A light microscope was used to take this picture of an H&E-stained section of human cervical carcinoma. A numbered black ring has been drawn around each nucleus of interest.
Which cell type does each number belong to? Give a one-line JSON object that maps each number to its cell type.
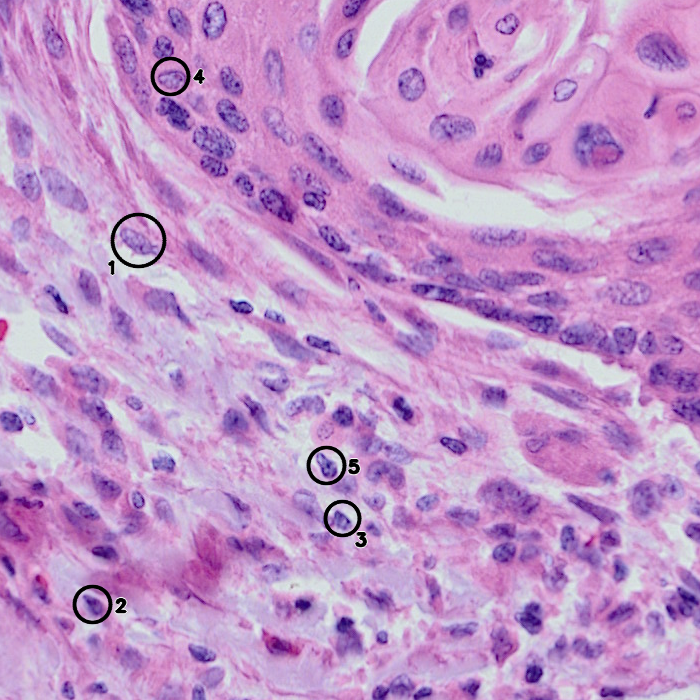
{"1": "fibroblast", "2": "lymphocyte", "3": "lymphocyte", "4": "squamous carcinoma cell", "5": "lymphocyte"}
